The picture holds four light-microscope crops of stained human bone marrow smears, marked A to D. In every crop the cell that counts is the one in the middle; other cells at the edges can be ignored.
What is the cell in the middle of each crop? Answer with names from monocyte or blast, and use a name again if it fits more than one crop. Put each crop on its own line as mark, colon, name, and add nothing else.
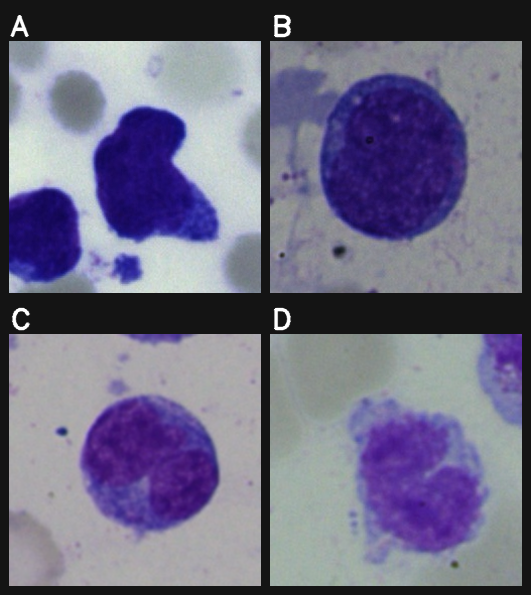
A: blast
B: blast
C: blast
D: monocyte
